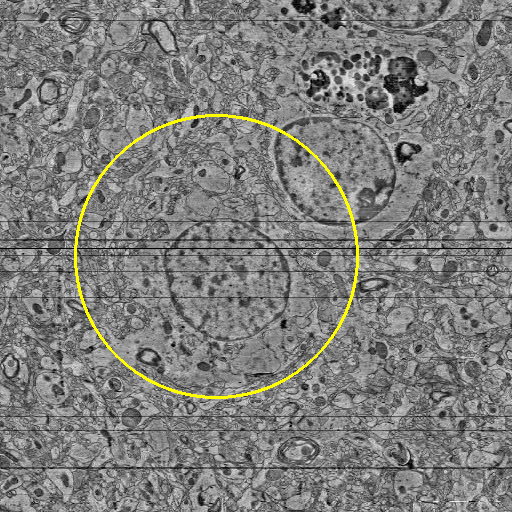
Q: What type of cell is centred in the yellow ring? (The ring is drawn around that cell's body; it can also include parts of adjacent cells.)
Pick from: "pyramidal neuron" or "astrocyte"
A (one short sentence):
The yellow ring is centred on an astrocyte.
